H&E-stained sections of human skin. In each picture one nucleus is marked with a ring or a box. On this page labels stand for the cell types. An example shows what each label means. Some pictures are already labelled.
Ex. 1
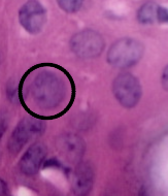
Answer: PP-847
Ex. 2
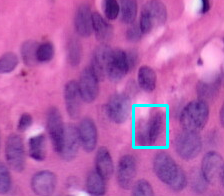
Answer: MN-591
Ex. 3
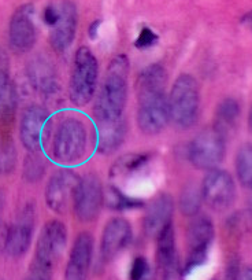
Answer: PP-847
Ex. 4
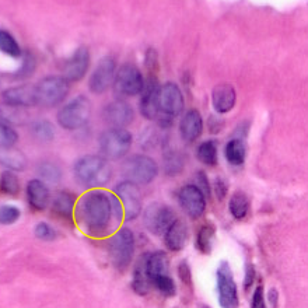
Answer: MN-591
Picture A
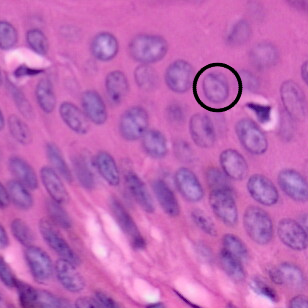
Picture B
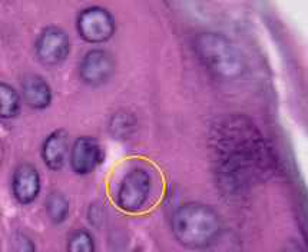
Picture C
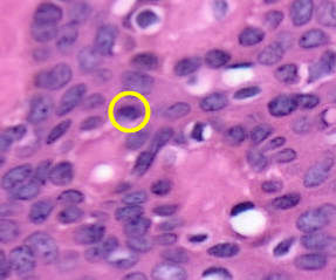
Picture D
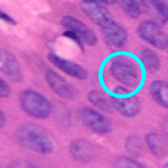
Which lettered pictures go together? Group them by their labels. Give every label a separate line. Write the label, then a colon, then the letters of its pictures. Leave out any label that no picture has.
PP-847: A, B, D
MN-591: C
